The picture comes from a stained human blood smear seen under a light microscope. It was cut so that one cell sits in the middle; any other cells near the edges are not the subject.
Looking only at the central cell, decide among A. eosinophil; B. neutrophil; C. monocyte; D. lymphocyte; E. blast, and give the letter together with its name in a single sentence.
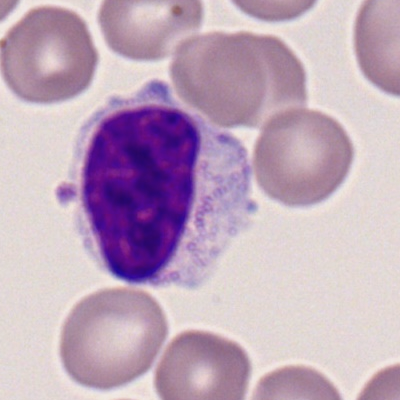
The best answer is option D, since the cell in the middle is a lymphocyte.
